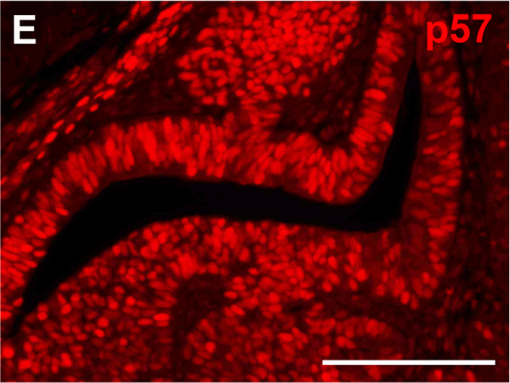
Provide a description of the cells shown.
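A dark, curved, slit-like lumen runs across the middle. The cells that line it form a thick, pseudostratified layer. Their nuclei are elongated and stacked side by side, pointing perpendicular to the lumen. Farther from the lumen the nuclei are rounder and more loosely packed. In the upper part some of them gather in small clusters. The lining layer follows the bends of the lumen as a continuous band.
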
